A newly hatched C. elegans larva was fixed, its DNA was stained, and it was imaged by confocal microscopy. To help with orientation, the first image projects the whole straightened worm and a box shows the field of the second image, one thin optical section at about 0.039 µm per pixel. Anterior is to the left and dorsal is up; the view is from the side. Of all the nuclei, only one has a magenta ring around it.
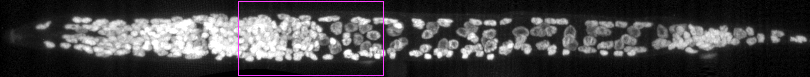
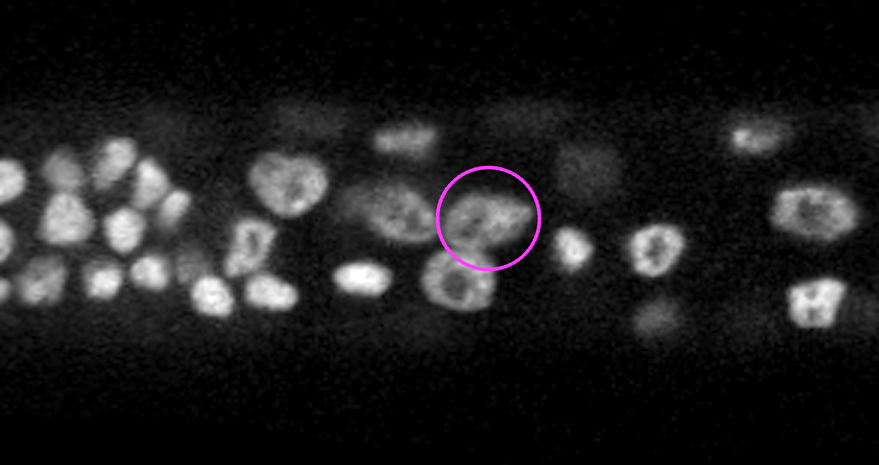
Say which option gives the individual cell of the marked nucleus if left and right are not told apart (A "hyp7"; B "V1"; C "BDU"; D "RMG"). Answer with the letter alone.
A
